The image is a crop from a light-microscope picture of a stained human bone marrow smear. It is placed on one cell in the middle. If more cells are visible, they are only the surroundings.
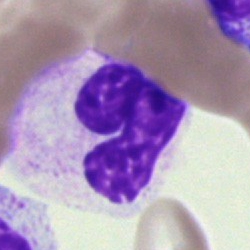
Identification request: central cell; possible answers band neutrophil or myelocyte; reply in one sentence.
At the middle of the frame sits a band neutrophil.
